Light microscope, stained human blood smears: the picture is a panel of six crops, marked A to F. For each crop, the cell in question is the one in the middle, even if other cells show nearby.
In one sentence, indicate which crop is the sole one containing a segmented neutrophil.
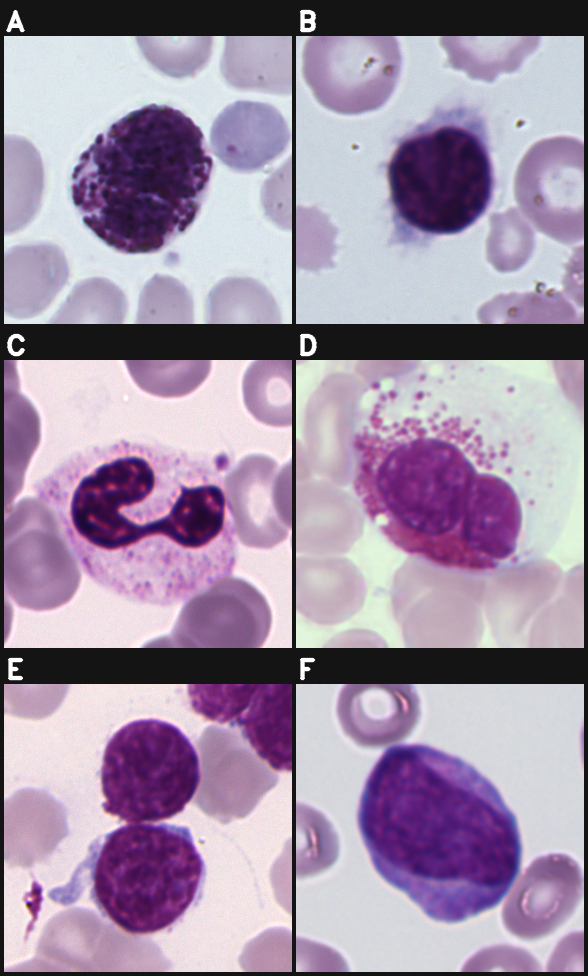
Crop C is the correct crop, and it shows a segmented neutrophil.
